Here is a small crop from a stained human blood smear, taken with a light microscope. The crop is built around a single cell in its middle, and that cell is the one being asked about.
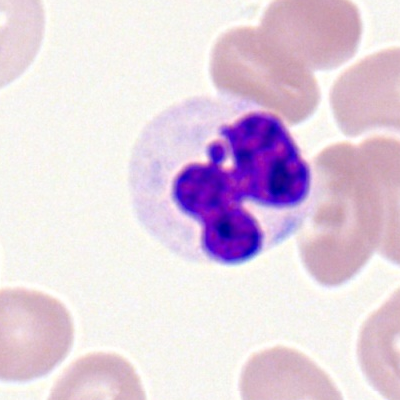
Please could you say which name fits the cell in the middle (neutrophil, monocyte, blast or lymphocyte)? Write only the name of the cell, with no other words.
neutrophil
